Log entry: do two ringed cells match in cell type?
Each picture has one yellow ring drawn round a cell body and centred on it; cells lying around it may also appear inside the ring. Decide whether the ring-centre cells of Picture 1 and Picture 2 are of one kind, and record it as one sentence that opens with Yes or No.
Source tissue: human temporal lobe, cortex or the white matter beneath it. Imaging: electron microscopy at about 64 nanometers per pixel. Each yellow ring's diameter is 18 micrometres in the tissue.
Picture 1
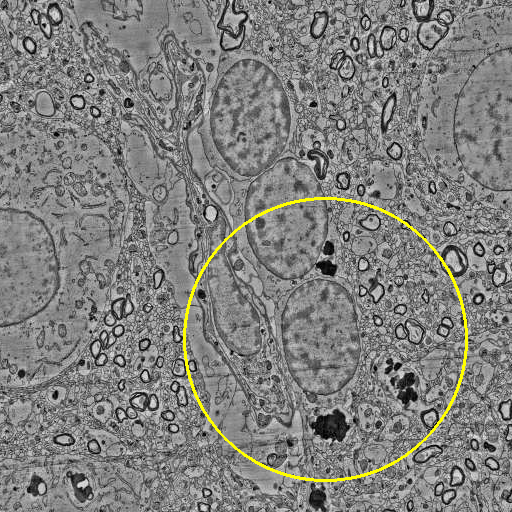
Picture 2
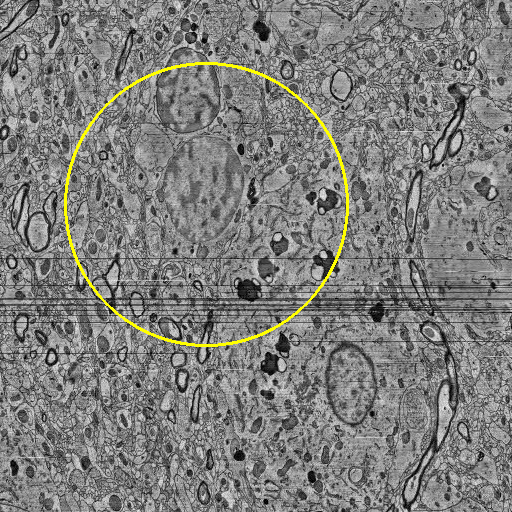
Yes, the cells at the ring centres of the two pictures belong to one kind.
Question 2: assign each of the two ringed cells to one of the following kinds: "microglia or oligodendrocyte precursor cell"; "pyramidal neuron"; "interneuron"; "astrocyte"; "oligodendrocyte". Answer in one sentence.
In each picture the ringed cell is an oligodendrocyte.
